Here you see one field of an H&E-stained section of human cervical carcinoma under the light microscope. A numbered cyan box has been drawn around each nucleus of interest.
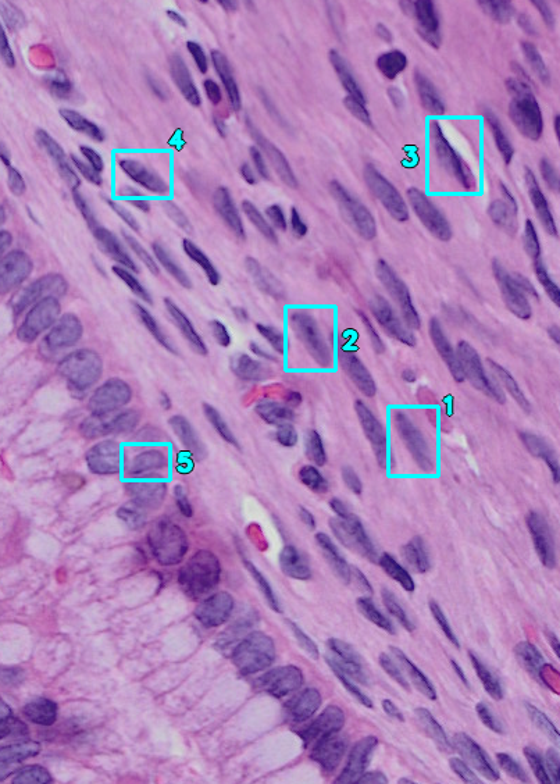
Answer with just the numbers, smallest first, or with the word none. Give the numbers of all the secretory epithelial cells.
5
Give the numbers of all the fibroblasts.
1, 2, 4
